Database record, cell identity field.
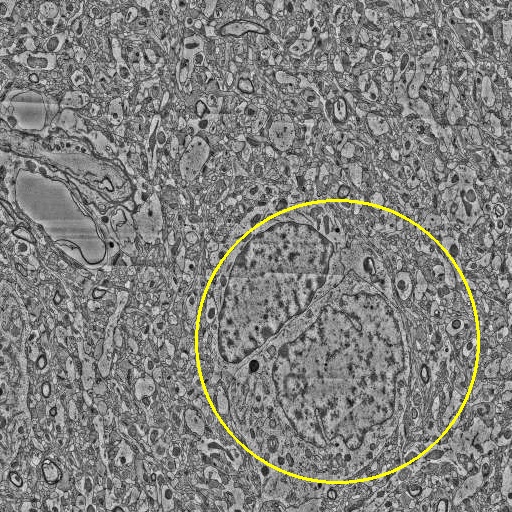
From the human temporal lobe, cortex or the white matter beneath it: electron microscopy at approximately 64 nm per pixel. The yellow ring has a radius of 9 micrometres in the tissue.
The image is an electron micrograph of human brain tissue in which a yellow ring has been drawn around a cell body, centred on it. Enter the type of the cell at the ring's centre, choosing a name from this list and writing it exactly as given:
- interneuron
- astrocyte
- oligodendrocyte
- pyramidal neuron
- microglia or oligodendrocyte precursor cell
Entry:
interneuron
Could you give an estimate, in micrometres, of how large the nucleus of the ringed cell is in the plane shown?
In this plane, about 10 micrometres in length and 8 in width.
